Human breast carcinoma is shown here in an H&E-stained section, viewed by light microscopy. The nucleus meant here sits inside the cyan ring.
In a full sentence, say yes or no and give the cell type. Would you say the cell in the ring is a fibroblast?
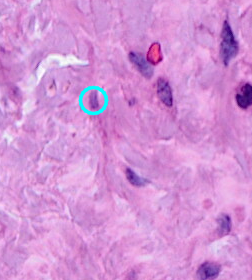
Yes, the cell in the ring is, by its type, a fibroblast.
